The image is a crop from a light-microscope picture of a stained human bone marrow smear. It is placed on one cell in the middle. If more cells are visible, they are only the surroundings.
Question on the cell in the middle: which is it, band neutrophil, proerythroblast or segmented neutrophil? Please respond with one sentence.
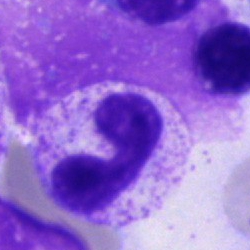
The cell in the middle of the field of view is a band neutrophil.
